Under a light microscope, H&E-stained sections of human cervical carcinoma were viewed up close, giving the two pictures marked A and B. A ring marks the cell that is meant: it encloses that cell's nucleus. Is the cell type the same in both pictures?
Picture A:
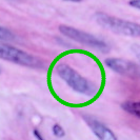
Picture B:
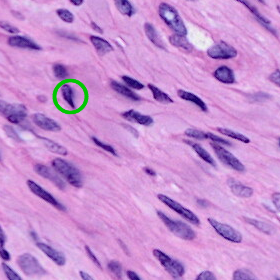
no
